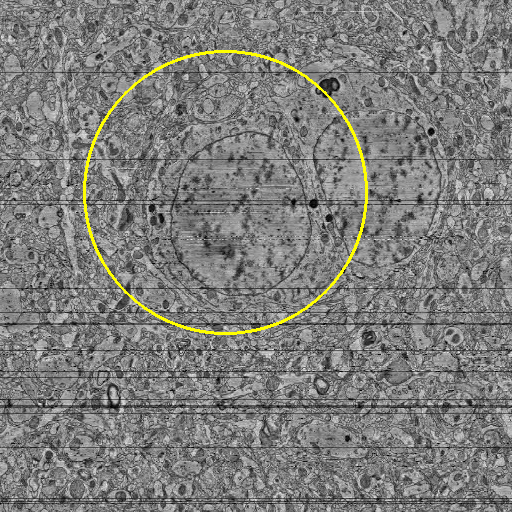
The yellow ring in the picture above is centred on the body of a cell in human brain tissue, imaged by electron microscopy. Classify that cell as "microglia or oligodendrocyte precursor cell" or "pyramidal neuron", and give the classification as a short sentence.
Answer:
The cell in the middle of the ring is a pyramidal neuron.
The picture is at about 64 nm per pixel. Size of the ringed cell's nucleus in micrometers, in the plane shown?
Approximately 10 micrometres across, in this plane.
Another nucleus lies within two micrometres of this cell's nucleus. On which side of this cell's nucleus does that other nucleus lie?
That other nucleus appears to the upper right of it.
